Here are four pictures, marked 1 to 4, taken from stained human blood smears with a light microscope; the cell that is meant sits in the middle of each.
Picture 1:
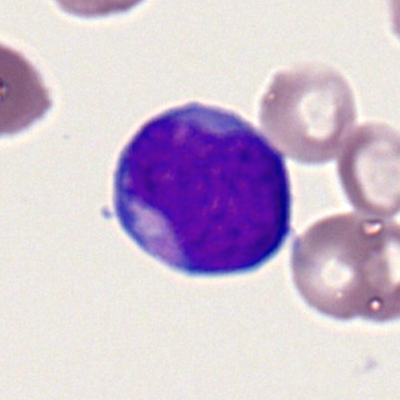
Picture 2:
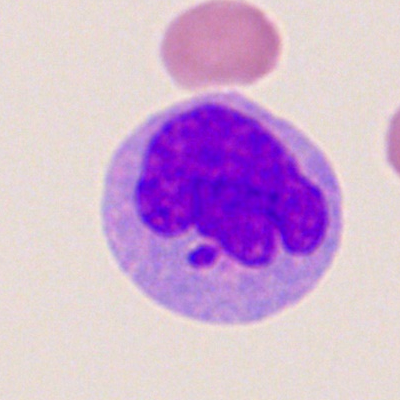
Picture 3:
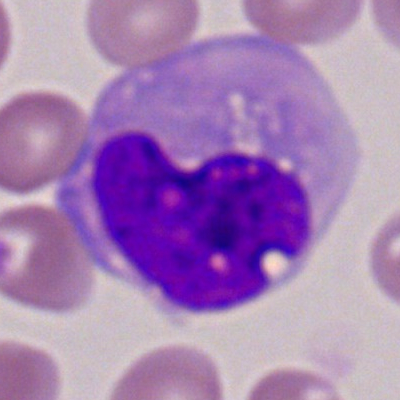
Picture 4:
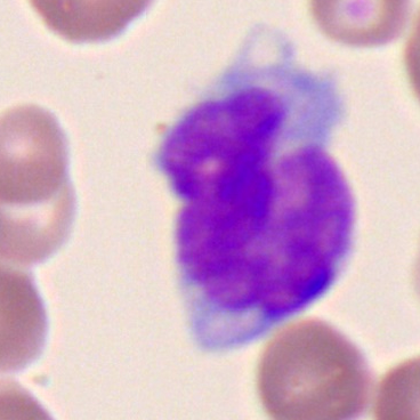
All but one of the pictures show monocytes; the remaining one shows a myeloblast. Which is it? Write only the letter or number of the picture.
1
